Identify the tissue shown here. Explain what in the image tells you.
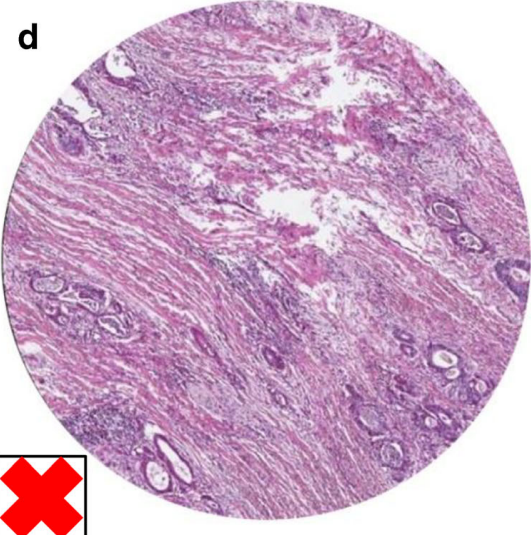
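Long pink fibre bundles run diagonally across the field. Only scattered small glands lie among the pink bundles. On this evidence: smooth muscle tissue.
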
